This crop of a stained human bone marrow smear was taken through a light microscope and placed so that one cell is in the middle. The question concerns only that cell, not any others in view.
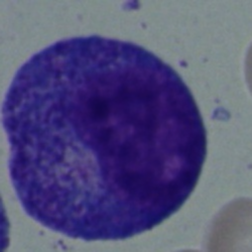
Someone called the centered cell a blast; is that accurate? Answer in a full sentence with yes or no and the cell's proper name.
No, this is not a blast at all; the cell in the middle is a promyelocyte.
